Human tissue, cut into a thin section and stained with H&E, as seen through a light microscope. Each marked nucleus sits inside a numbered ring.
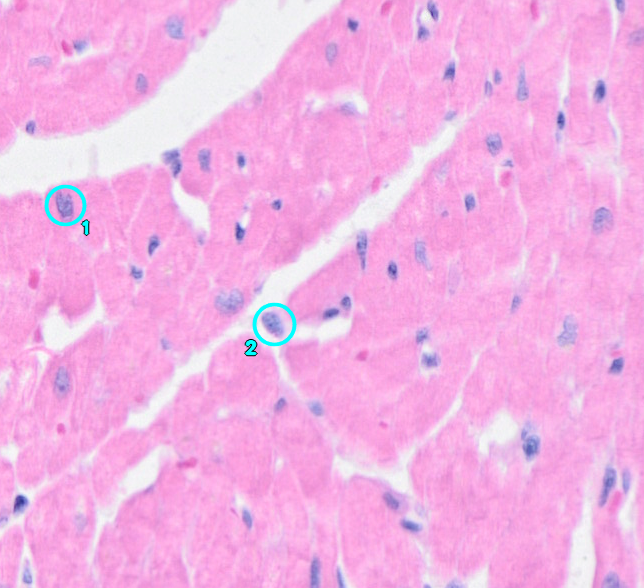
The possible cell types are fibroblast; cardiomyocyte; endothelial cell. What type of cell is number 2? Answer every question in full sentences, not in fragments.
The cell marked with the number 2 is a fibroblast.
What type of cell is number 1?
The cell with the number 1 is a cardiomyocyte.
